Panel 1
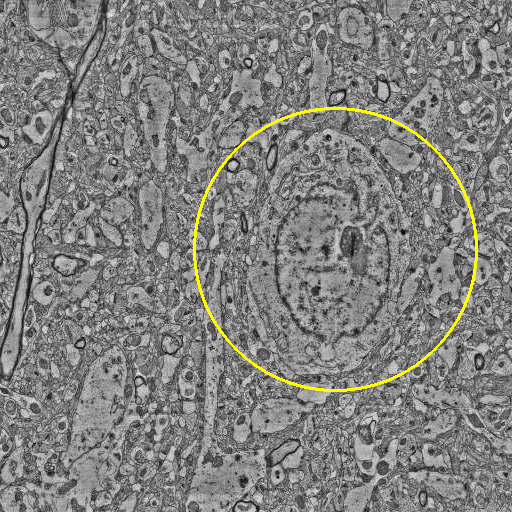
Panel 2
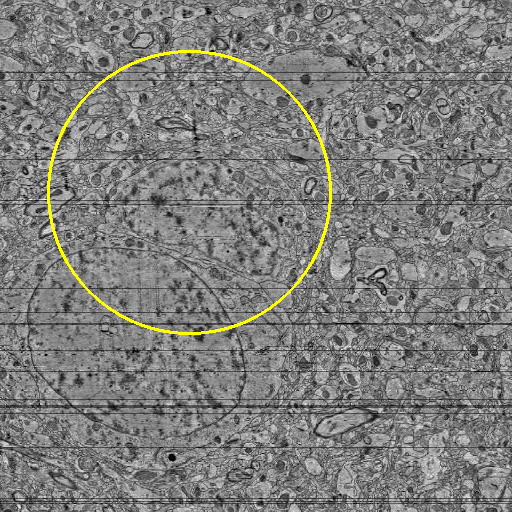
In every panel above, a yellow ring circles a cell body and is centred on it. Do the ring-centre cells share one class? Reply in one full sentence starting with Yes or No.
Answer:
Yes, the two cells at the ring centres in the panels belong to one class.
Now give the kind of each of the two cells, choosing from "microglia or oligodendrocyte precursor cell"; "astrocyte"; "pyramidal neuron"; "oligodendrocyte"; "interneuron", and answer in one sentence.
The first and the second cell are each an interneuron.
